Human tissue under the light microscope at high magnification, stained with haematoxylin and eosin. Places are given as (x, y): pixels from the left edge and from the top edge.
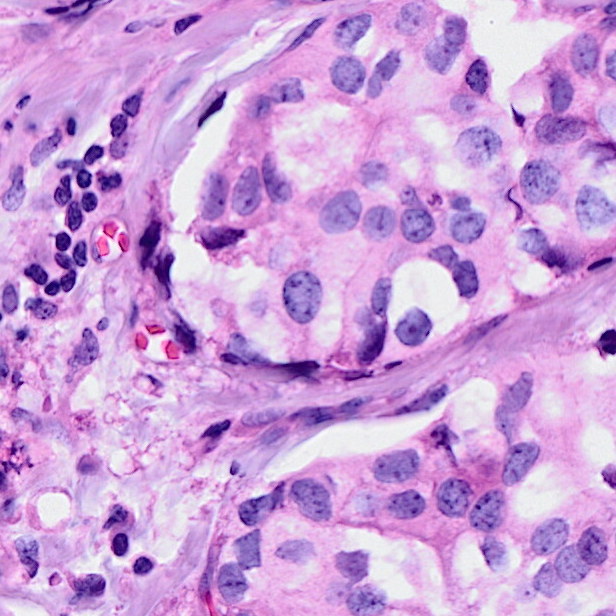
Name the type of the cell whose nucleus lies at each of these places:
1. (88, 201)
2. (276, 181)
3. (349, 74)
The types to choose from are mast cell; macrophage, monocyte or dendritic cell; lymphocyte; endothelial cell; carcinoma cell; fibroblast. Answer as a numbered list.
1. lymphocyte
2. carcinoma cell
3. carcinoma cell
